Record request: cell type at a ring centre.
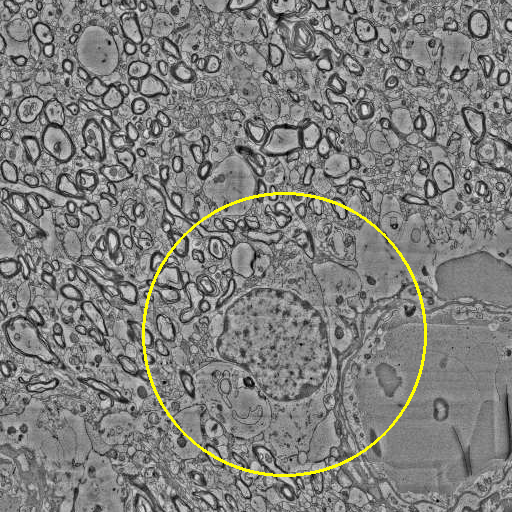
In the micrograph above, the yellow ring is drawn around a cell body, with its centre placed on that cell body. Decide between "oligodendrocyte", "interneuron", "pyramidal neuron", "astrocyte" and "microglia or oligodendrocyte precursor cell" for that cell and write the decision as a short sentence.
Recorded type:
The cell centred in the yellow ring is a microglial cell or oligodendrocyte precursor cell.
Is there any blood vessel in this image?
Yes, there is a blood vessel.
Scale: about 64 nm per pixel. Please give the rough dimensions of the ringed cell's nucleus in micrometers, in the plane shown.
The nucleus works out at approximately 8 by 6 micrometres in this plane.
